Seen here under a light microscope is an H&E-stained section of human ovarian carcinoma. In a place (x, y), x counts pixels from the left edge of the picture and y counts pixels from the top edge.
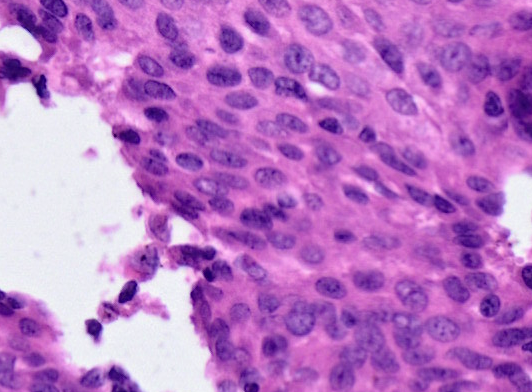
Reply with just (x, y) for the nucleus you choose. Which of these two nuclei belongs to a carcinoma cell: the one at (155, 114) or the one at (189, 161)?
(155, 114)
